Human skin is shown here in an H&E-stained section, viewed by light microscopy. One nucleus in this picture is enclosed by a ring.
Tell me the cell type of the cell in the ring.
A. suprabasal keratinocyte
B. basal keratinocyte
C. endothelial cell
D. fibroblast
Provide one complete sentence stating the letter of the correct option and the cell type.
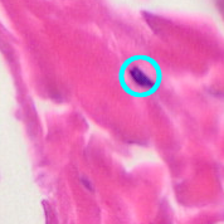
In short, option D: the cell in the ring is a fibroblast.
